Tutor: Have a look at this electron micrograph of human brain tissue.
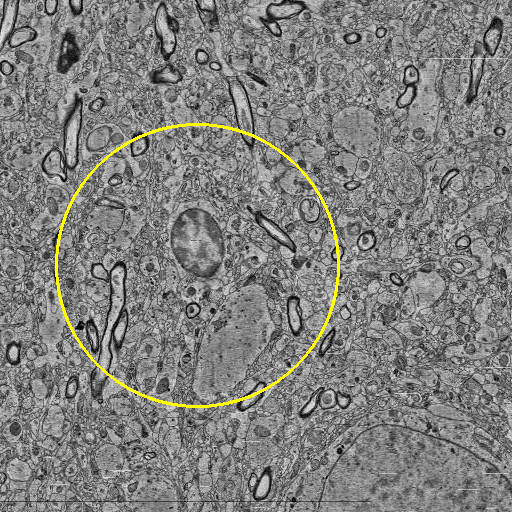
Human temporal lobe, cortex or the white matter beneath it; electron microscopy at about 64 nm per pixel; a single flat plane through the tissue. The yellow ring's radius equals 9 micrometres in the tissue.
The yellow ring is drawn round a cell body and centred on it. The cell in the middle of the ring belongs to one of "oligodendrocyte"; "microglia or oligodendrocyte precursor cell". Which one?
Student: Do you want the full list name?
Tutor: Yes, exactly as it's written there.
microglia or oligodendrocyte precursor cell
